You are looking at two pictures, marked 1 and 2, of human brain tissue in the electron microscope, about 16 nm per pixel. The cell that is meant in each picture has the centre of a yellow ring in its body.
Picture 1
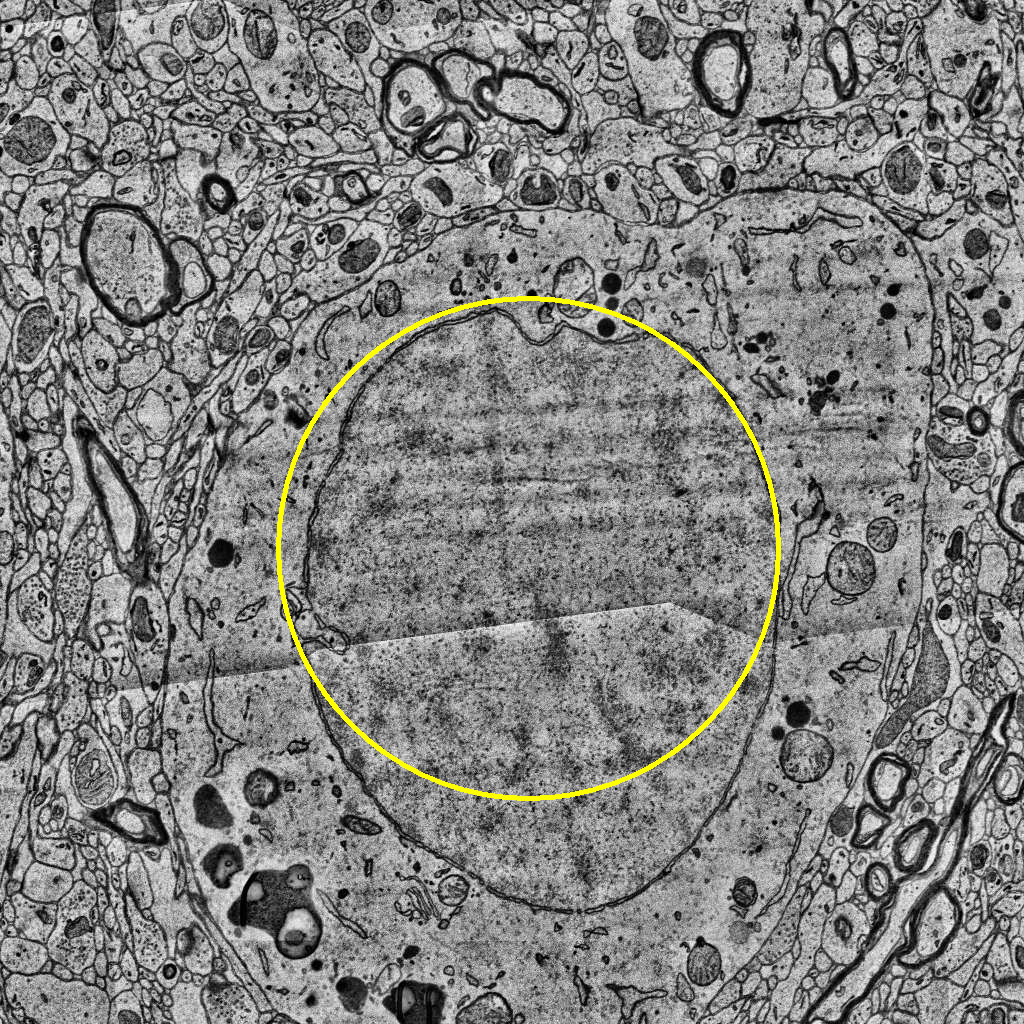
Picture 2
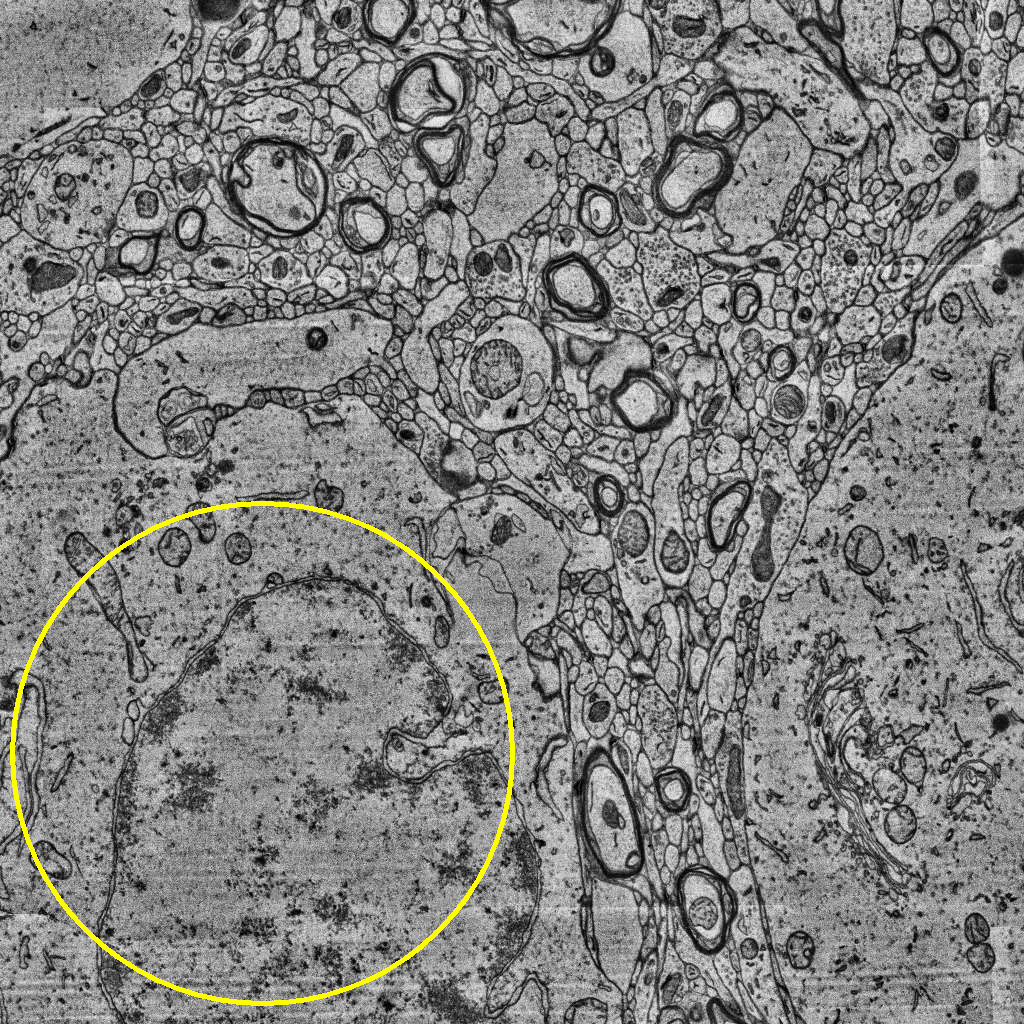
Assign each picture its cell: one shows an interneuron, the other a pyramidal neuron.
The cell in picture 1 is a pyramidal neuron, and the one in picture 2 is an interneuron.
